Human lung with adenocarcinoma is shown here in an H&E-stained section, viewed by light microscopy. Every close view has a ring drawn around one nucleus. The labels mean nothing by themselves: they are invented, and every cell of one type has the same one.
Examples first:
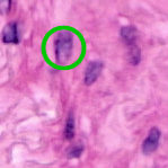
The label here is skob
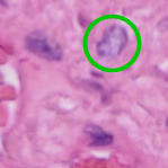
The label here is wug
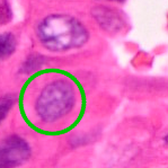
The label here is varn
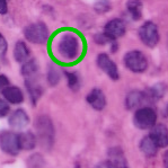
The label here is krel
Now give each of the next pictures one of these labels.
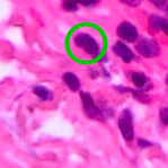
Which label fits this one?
krel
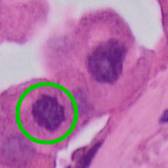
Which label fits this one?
varn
